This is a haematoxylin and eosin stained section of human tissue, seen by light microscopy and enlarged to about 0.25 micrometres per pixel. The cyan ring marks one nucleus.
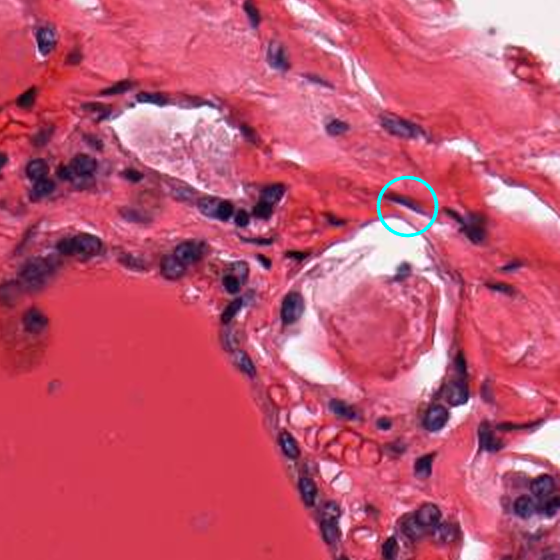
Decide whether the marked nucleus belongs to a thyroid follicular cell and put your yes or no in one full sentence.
No, the marked nucleus does not come from a thyroid follicular cell but from a supporting cell.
